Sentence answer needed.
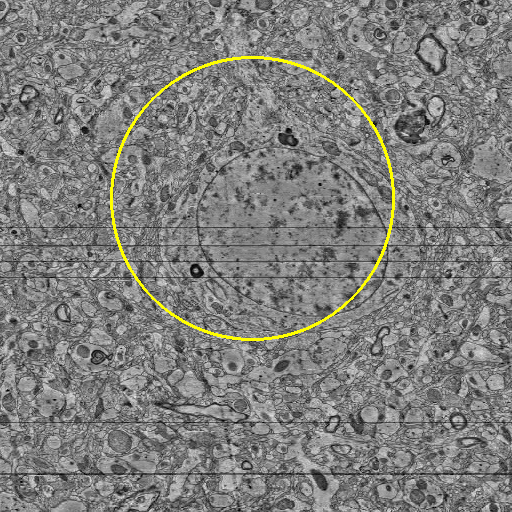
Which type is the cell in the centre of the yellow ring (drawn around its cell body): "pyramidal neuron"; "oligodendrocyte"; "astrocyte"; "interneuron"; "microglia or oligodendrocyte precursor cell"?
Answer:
In the centre of the yellow ring is a pyramidal neuron.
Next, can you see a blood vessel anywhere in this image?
No, the picture includes no blood vessel.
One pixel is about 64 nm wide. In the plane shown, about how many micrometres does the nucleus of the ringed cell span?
In this plane, about 13 micrometres in length and 11 in width.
